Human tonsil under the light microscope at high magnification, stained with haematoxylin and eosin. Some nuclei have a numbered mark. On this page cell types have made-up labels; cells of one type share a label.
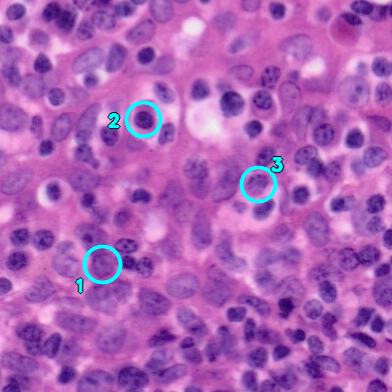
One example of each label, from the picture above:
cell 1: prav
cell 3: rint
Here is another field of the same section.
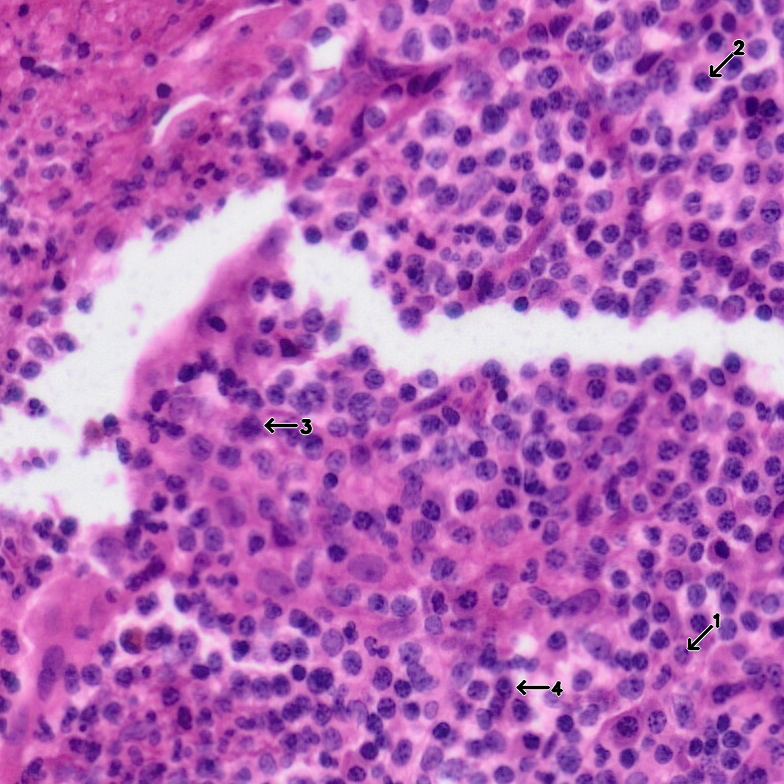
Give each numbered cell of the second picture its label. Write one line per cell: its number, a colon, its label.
1: rint
2: rint
3: prav
4: rint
